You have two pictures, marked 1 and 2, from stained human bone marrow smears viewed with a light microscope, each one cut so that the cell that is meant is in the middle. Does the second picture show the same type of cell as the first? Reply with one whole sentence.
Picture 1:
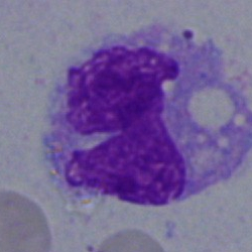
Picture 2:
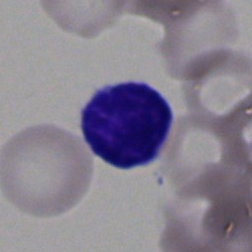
No, they differ: the cell is a monocyte in picture 1 and a lymphocyte in picture 2.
